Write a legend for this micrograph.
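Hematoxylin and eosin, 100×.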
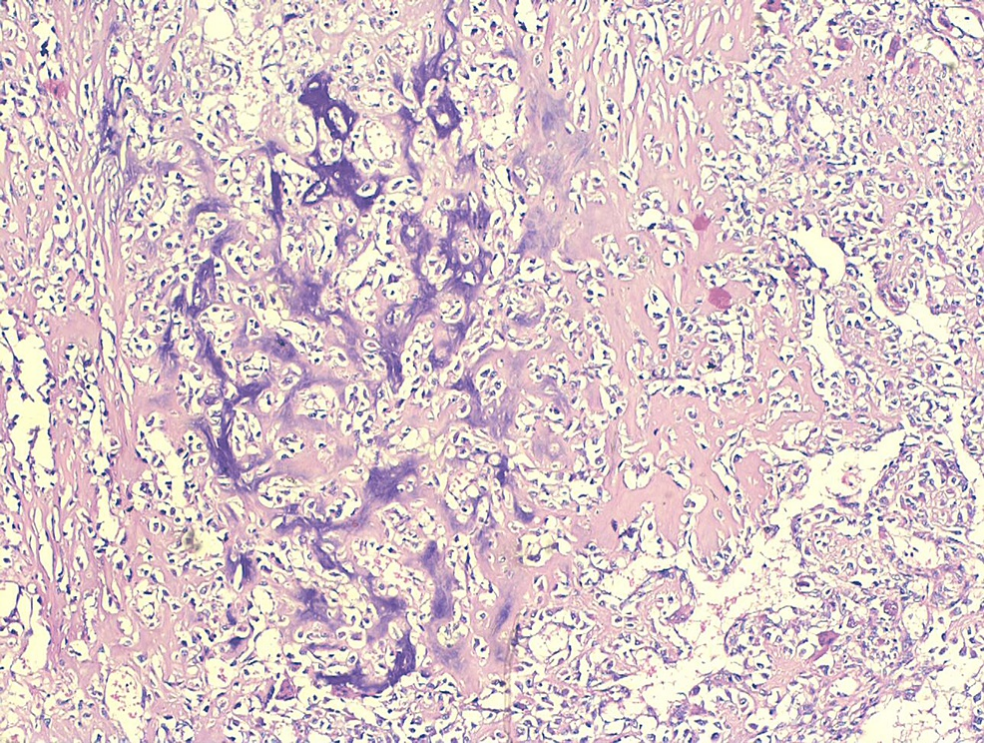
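This is bone-forming tissue in which crowded cells with dark, irregular nuclei lie within and along a lacy network of pink osteoid strands. In the centre, parts of this branching matrix stain a deep purple. The cells vary in size and shape and sit in the spaces between the pink strands, with looser, paler areas toward the edges.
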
